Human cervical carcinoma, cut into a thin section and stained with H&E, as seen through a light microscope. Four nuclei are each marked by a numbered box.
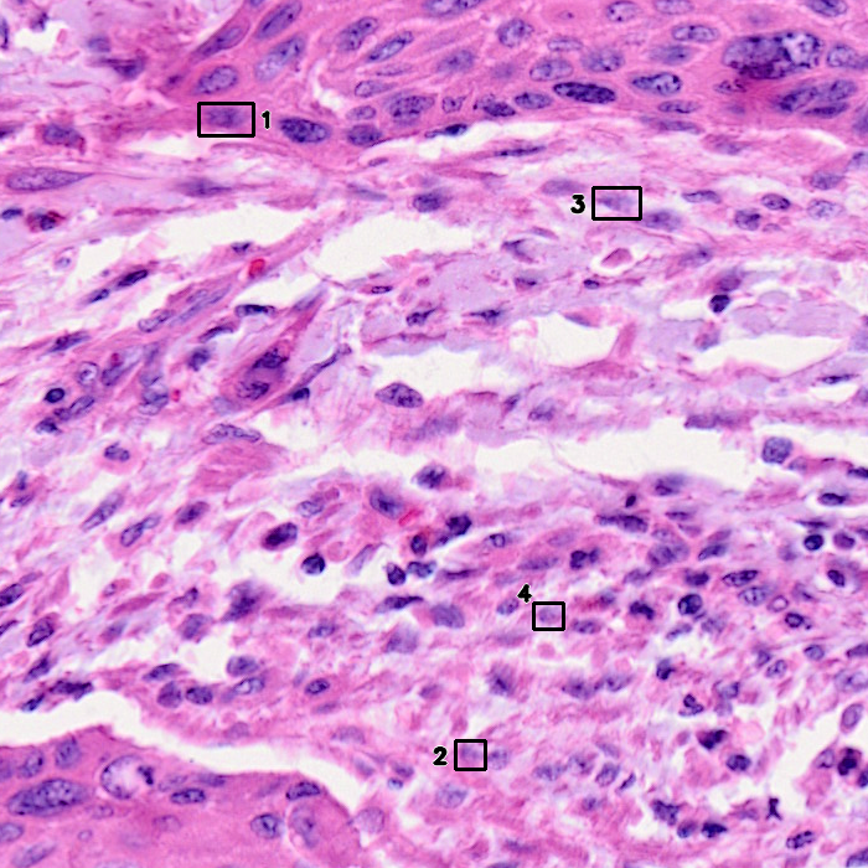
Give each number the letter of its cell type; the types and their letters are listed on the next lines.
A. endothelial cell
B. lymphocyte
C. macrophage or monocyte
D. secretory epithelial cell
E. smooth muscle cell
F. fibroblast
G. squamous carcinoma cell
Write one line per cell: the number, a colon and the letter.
1: G
2: F
3: F
4: F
